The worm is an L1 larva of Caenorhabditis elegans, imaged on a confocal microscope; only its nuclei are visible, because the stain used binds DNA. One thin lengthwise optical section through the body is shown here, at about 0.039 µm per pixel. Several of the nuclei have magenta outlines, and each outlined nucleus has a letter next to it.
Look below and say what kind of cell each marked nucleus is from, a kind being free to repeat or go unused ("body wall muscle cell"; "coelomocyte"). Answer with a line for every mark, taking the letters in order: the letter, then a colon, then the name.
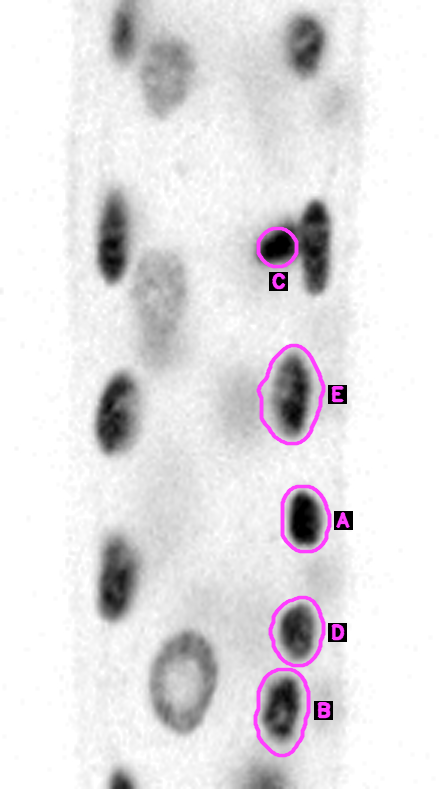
A: coelomocyte
B: body wall muscle cell
C: coelomocyte
D: body wall muscle cell
E: body wall muscle cell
